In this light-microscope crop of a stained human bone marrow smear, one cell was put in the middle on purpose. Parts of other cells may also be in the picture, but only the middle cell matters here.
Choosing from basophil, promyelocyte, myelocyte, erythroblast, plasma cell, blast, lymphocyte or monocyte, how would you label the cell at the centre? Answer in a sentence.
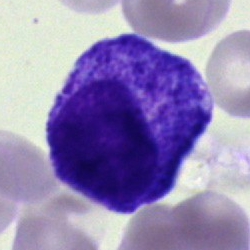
The cell positioned in the middle of the field is a promyelocyte.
